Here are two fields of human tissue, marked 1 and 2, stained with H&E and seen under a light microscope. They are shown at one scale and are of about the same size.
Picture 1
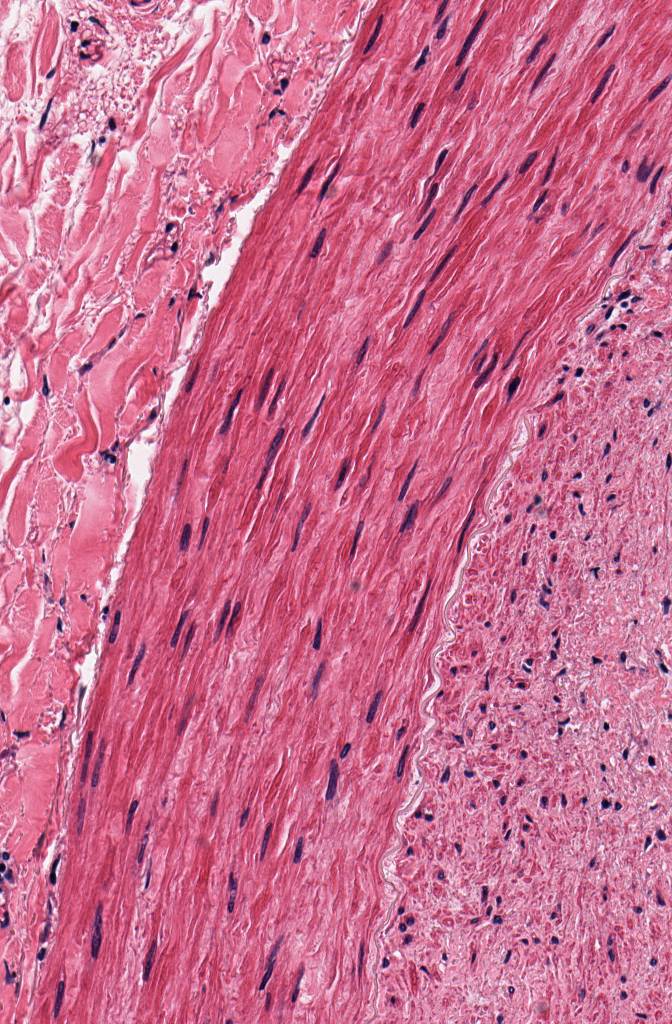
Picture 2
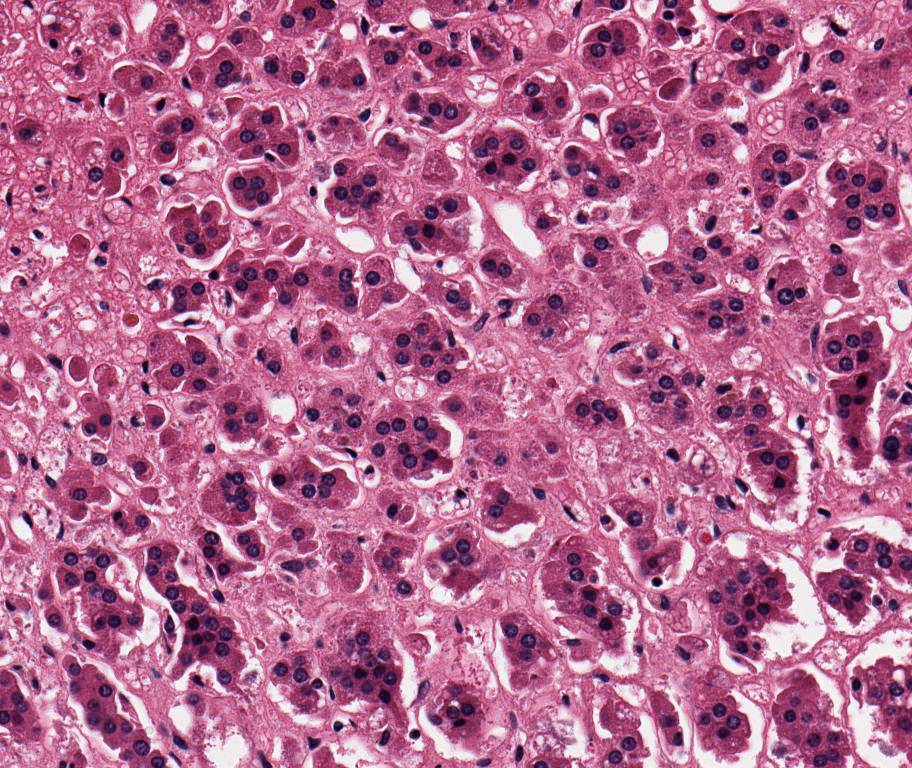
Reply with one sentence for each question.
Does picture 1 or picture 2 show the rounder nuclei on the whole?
Rounder nuclei lie in picture 2.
